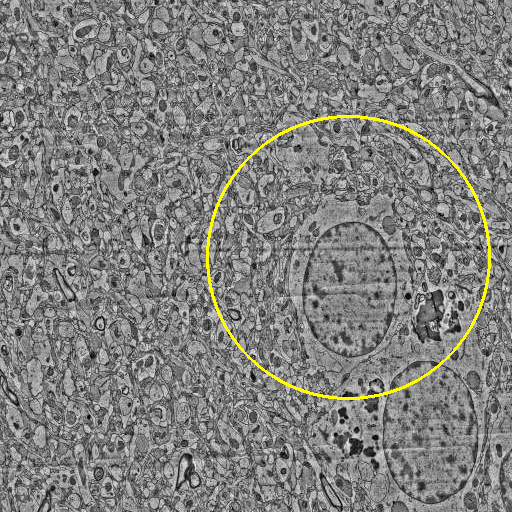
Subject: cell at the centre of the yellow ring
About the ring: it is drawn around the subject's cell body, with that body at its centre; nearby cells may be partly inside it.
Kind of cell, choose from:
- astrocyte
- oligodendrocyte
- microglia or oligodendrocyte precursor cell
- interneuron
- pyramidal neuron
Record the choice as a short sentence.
The subject cell is an astrocyte.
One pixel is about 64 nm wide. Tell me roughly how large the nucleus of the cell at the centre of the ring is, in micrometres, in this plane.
In this plane the nucleus spans approximately 9 by 6 micrometers.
